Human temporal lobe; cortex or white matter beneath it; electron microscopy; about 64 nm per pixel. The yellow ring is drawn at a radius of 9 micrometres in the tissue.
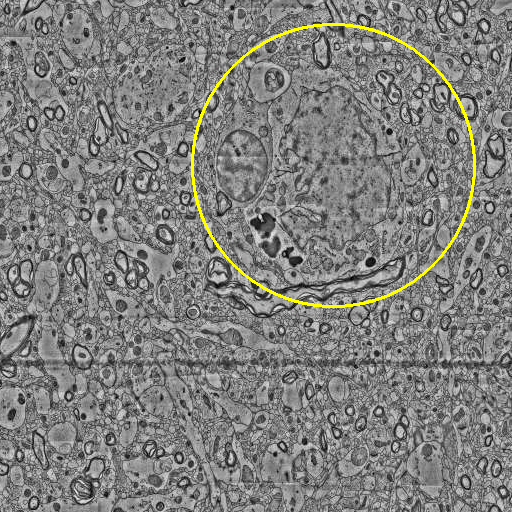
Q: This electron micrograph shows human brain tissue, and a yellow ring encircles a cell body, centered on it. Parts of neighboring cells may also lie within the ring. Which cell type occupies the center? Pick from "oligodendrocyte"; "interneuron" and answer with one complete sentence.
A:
What sits at the ring's center in this micrograph is an interneuron, among those choices.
